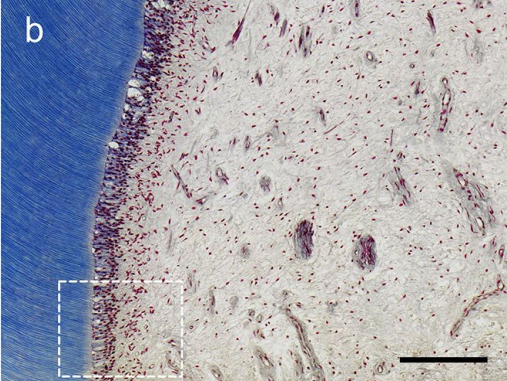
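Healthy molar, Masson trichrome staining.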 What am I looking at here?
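This shows dentin and dental pulp meeting along a curved border. At the left the dentin is stained blue and traversed by fine, slightly curved tubules. Along its inner surface lies a dense, dark-stained row of odontoblasts forming a continuous cellular band. The remainder of the field is pulp: pale, fibrous connective tissue with evenly scattered small, spindle-shaped red nuclei, interspersed with elongated and round profiles of vessels and nerve bundles. The pulp appears orderly, without clusters of inflammatory cells.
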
